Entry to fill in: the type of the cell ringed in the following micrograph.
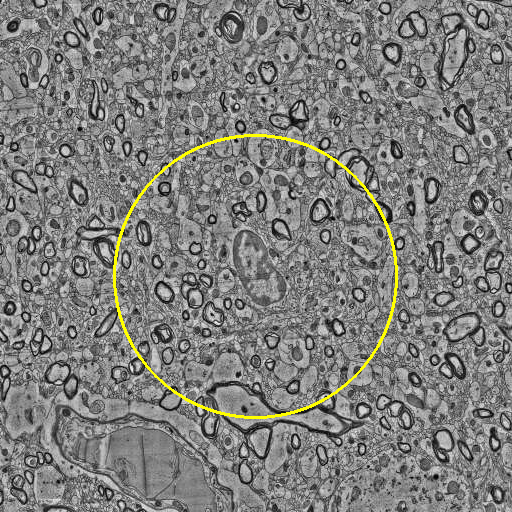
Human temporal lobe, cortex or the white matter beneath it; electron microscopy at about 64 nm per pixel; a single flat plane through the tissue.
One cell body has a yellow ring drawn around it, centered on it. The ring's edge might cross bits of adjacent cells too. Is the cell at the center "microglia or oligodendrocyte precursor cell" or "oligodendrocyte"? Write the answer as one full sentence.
This entry names a microglial cell or oligodendrocyte precursor cell as the cell whose body lies at the ring's center.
